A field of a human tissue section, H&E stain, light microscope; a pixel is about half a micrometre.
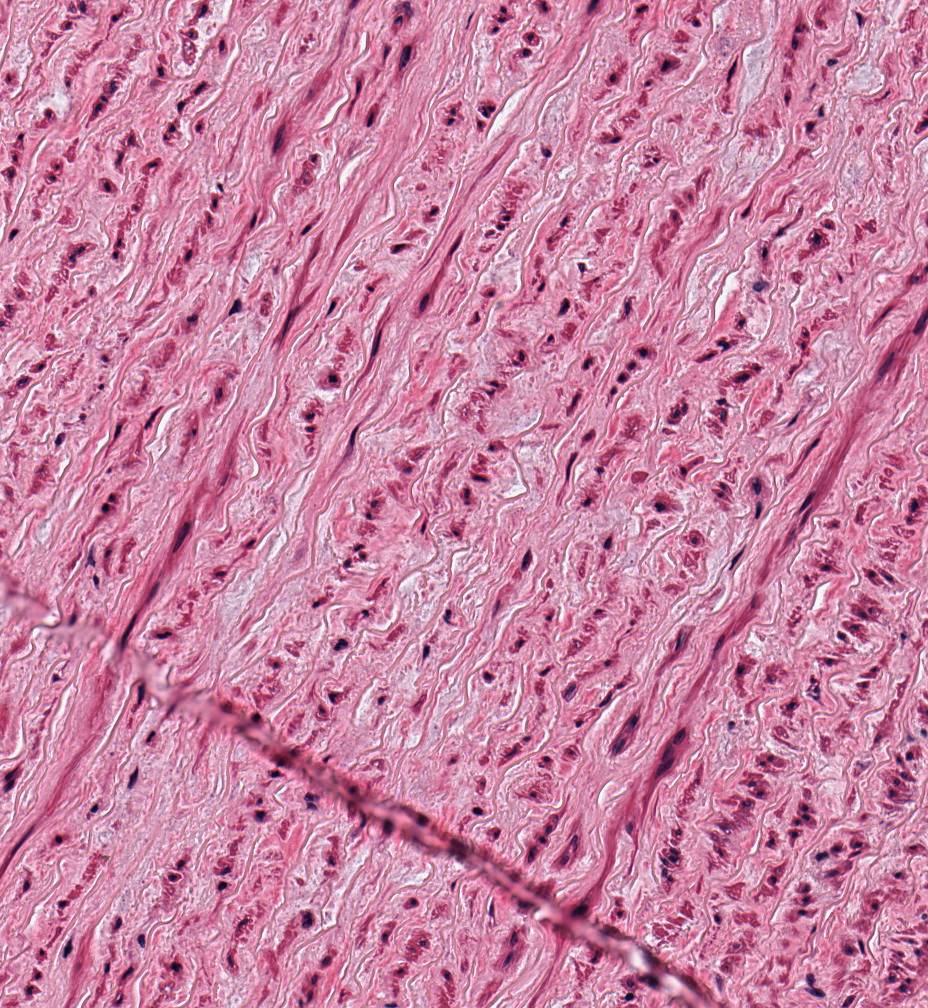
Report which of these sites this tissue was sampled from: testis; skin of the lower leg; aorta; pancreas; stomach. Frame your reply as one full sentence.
This sample of human tissue comes from the aorta.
